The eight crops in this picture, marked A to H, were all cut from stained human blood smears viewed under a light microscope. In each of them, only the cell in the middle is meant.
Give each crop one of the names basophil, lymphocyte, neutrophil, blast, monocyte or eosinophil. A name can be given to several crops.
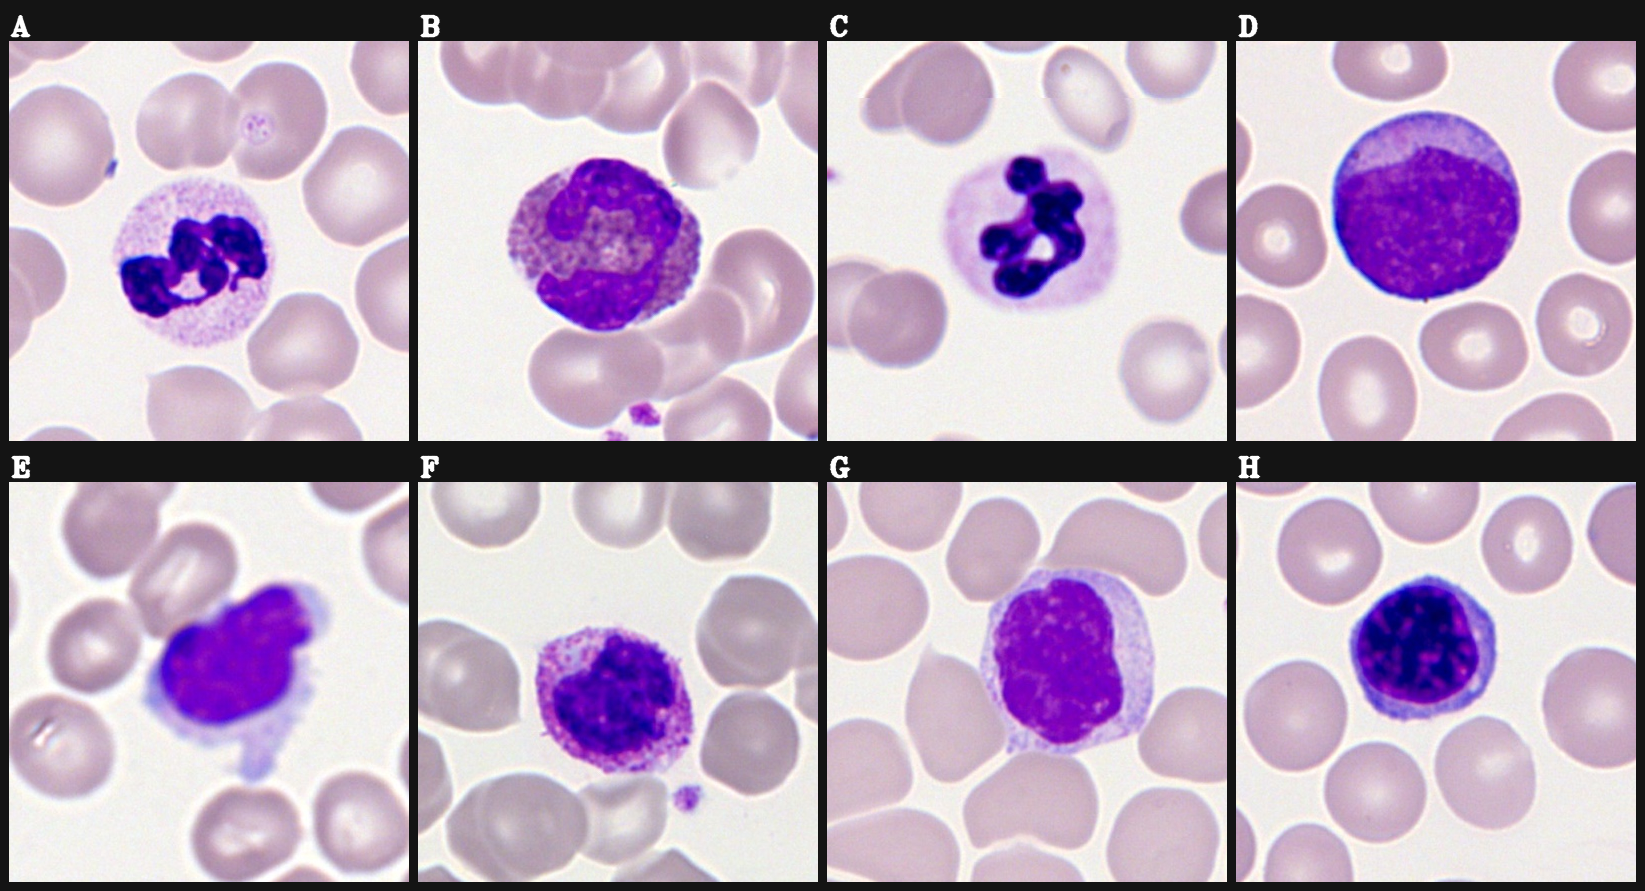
A: neutrophil
B: eosinophil
C: neutrophil
D: blast
E: lymphocyte
F: basophil
G: lymphocyte
H: lymphocyte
